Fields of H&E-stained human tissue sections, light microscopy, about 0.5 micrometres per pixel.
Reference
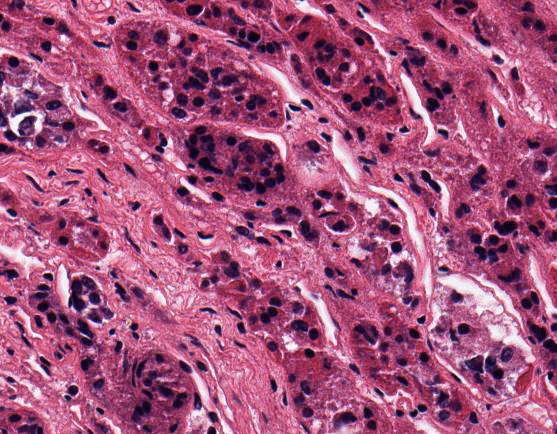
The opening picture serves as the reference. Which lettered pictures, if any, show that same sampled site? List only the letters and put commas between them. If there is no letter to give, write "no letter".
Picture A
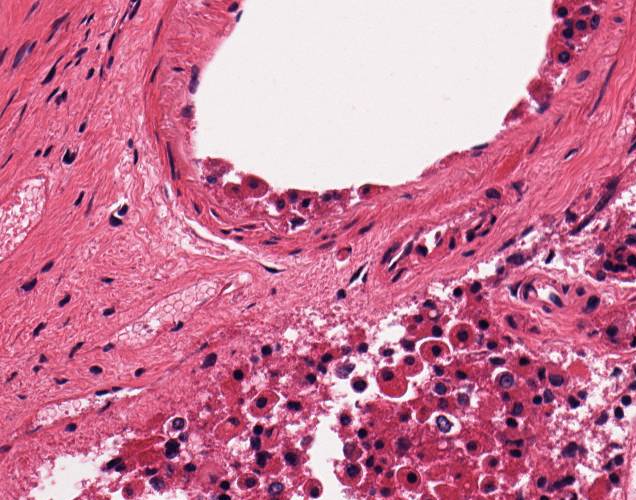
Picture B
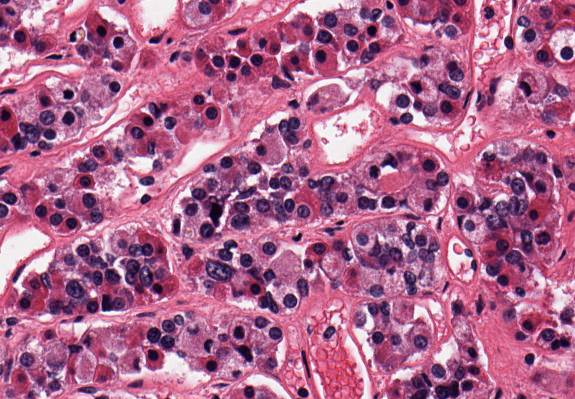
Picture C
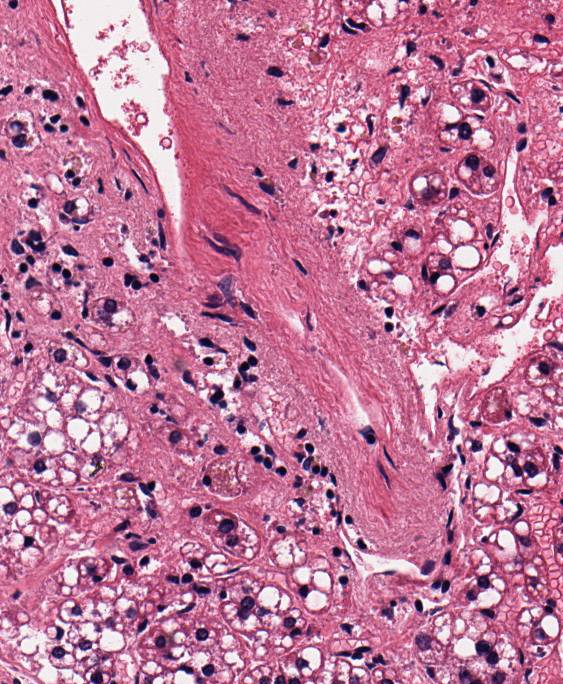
A, B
